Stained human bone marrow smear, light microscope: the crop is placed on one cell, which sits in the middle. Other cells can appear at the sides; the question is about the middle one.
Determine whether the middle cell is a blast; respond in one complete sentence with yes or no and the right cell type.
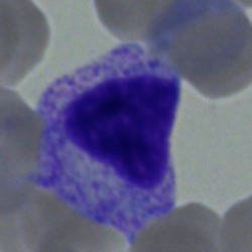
No, at the centre of this crop is found a myelocyte instead of a blast.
